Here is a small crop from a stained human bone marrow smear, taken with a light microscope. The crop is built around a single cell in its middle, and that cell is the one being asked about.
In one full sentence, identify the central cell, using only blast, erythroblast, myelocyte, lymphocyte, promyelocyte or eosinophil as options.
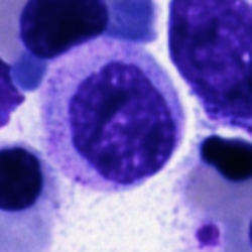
The cell in the middle of the field of view is a myelocyte.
